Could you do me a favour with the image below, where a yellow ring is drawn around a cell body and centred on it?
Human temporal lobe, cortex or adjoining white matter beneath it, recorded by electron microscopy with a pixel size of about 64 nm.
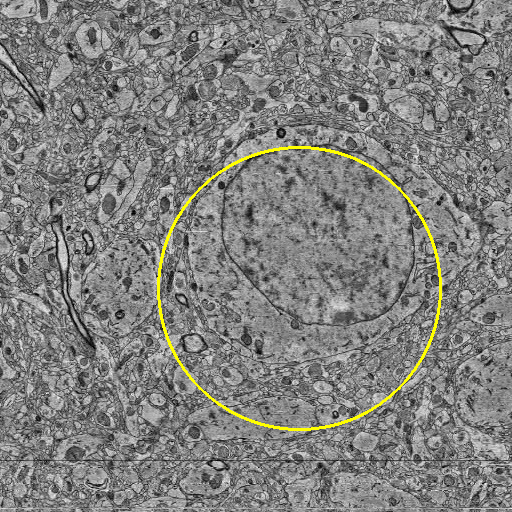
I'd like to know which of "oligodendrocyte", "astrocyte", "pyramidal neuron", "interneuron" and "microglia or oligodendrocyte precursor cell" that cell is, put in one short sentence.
The cell at the ring's centre is a pyramidal neuron.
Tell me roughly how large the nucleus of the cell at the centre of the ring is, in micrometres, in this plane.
Approximately 13 micrometres long and 12 micrometres wide, in this plane.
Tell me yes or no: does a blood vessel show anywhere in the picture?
No, none is visible.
